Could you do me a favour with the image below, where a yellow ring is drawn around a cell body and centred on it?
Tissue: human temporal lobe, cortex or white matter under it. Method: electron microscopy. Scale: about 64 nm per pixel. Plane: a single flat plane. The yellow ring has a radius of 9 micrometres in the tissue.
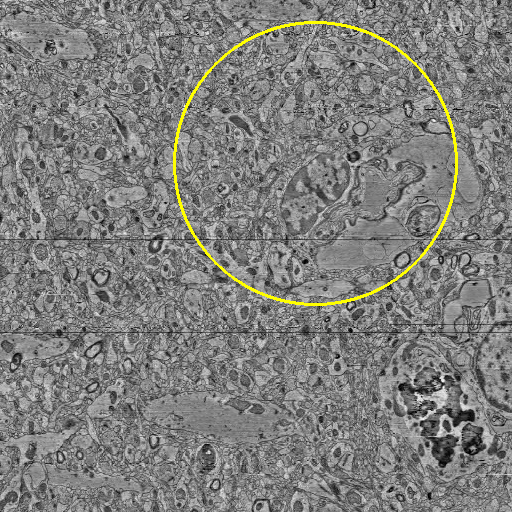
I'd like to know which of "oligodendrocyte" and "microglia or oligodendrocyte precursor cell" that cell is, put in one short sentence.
The cell at the ring's centre is a microglial cell or oligodendrocyte precursor cell.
